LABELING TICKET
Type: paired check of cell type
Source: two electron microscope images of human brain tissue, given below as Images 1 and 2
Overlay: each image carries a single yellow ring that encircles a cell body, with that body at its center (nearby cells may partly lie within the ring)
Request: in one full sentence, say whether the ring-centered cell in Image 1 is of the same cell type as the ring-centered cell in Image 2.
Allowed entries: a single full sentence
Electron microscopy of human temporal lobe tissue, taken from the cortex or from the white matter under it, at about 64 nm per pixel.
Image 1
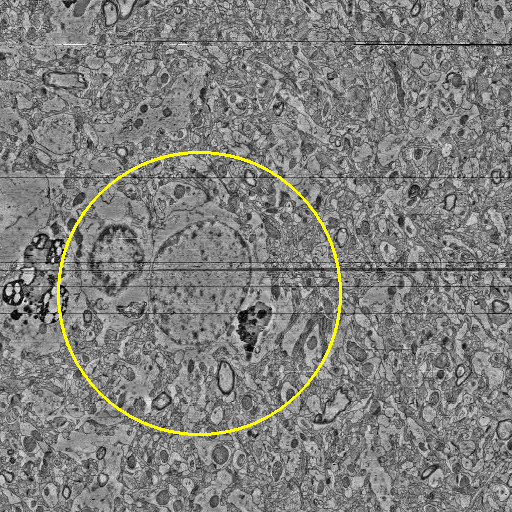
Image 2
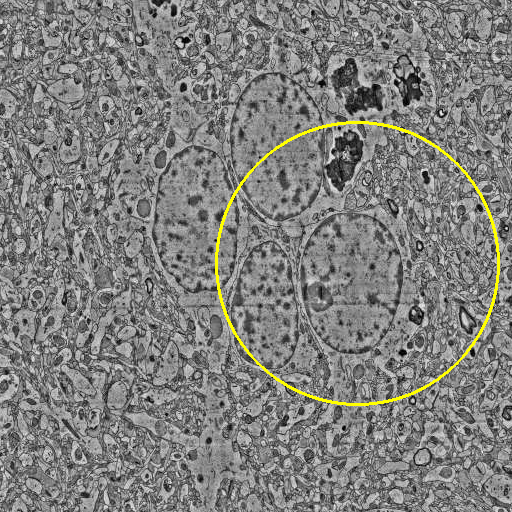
Yes, the cells centered in the rings of Image 1 and Image 2 share one type.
